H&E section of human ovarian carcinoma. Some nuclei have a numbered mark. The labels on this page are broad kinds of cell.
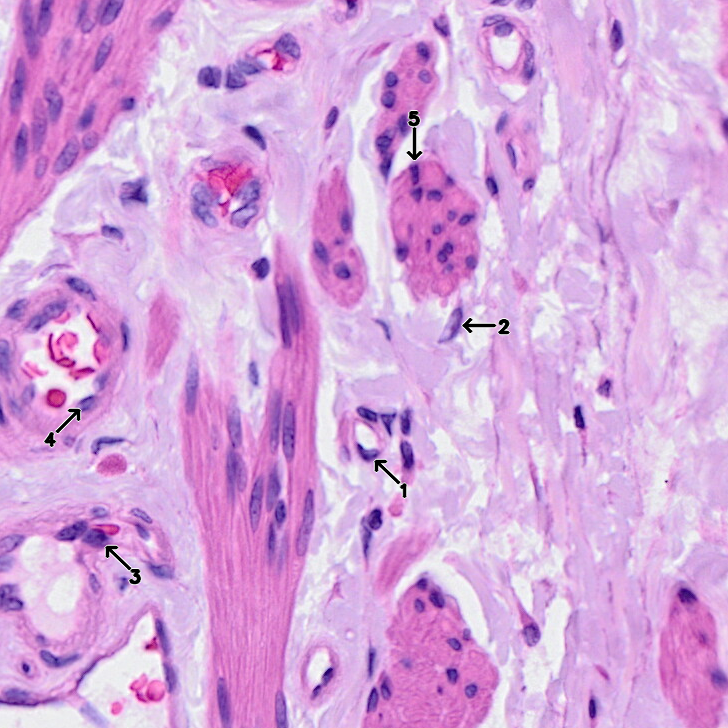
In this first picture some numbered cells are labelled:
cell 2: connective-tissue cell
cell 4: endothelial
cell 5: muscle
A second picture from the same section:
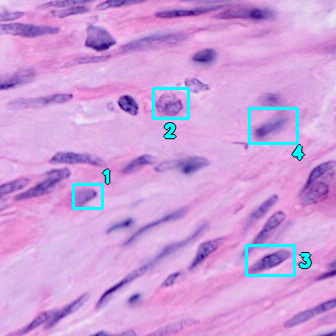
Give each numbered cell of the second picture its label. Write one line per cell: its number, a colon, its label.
1: muscle
2: endothelial
3: muscle
4: connective-tissue cell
